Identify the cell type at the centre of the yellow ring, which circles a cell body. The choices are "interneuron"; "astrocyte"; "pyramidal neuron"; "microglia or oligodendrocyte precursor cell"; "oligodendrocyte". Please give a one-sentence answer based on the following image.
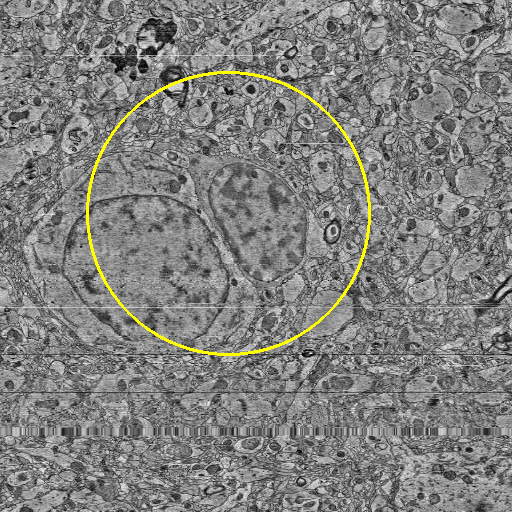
The cell marked by the ring is an oligodendrocyte.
